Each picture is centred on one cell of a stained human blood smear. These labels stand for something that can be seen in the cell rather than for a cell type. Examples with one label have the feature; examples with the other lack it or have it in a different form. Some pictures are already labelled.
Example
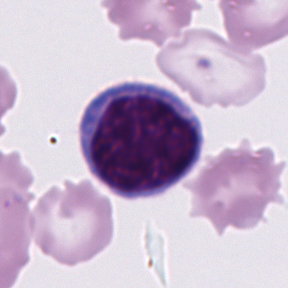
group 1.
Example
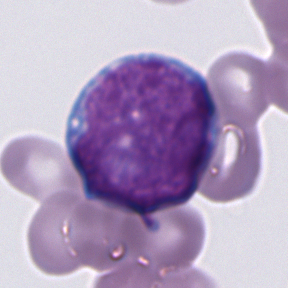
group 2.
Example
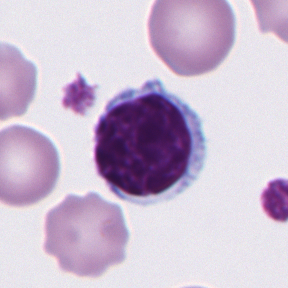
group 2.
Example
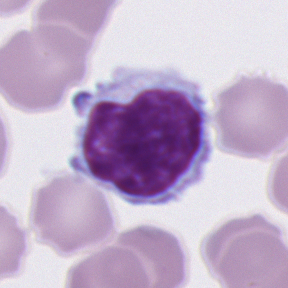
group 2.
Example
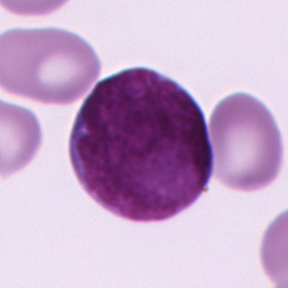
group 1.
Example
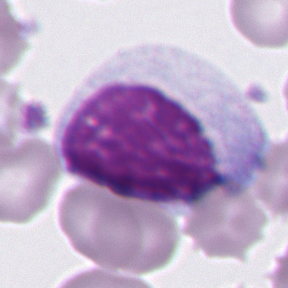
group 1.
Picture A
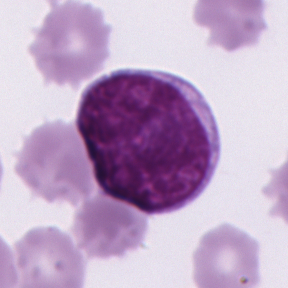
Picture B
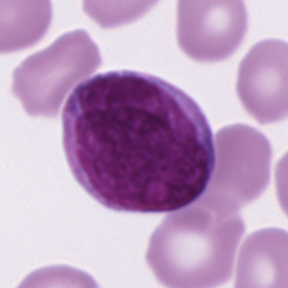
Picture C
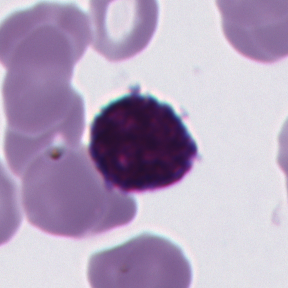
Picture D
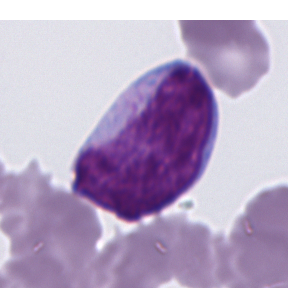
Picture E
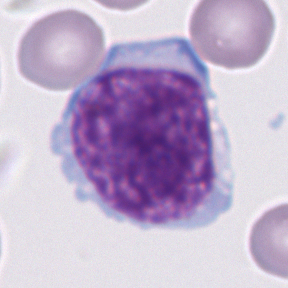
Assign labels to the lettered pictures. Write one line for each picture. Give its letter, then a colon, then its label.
A: group 1.
B: group 1.
C: group 2.
D: group 1.
E: group 2.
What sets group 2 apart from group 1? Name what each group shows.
group 2: ragged outline or projections; group 1: smooth outline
